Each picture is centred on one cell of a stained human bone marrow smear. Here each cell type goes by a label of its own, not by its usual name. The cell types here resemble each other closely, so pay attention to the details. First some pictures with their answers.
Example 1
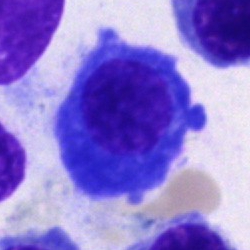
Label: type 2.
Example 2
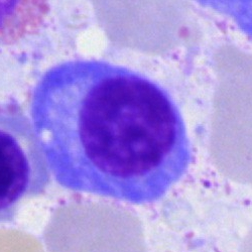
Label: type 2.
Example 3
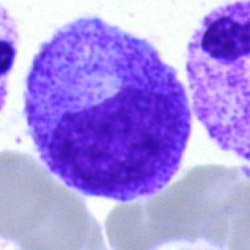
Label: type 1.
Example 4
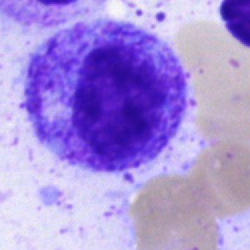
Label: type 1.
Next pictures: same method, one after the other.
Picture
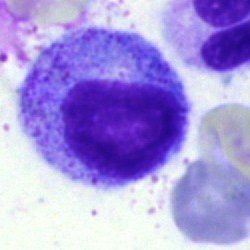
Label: type 1.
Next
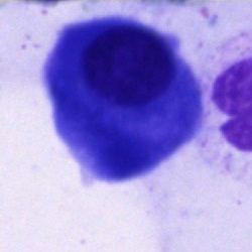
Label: type 2.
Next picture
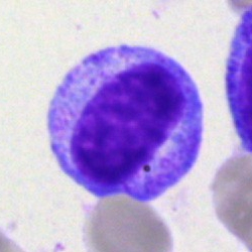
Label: type 1.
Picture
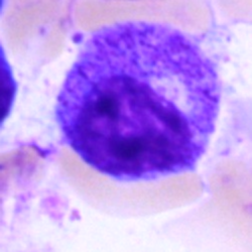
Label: type 1.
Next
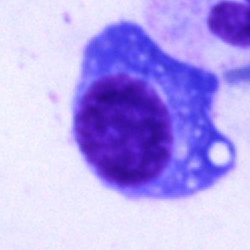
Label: type 2.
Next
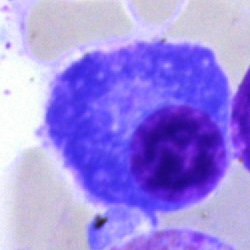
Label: type 2.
